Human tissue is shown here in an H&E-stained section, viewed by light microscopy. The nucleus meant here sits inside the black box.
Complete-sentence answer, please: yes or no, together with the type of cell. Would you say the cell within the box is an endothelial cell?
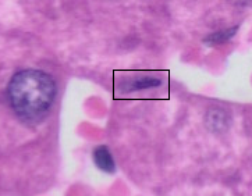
No, the cell within the box is reported as a fibroblast or stellate cell rather than an endothelial cell.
